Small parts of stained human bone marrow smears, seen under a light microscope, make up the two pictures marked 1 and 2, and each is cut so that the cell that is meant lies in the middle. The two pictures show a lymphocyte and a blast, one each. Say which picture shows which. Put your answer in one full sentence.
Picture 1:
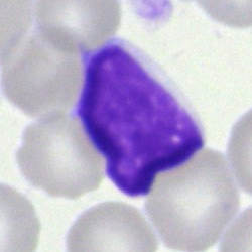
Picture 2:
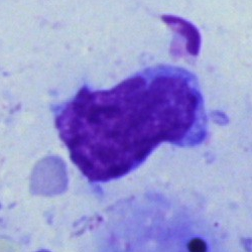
It is picture 1 that shows a blast, and picture 2 that shows a lymphocyte.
